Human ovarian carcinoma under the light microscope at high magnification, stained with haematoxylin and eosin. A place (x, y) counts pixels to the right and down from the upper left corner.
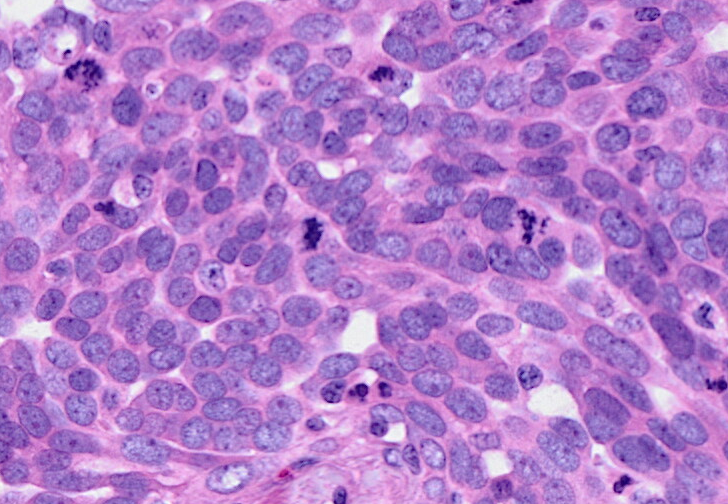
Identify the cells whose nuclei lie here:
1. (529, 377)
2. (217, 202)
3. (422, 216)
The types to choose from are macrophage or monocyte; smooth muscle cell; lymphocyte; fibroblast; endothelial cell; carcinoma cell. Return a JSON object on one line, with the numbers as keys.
{"1": "macrophage or monocyte", "2": "carcinoma cell", "3": "carcinoma cell"}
